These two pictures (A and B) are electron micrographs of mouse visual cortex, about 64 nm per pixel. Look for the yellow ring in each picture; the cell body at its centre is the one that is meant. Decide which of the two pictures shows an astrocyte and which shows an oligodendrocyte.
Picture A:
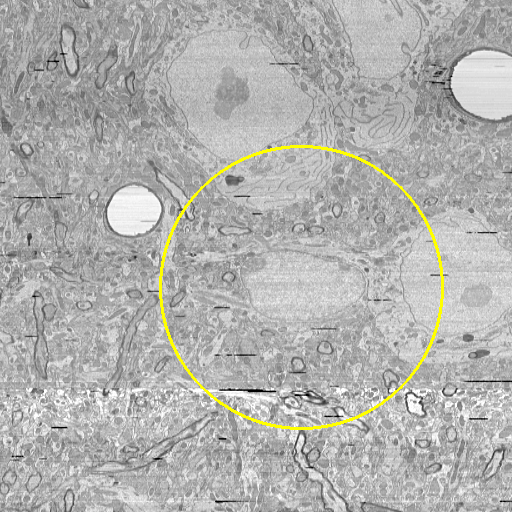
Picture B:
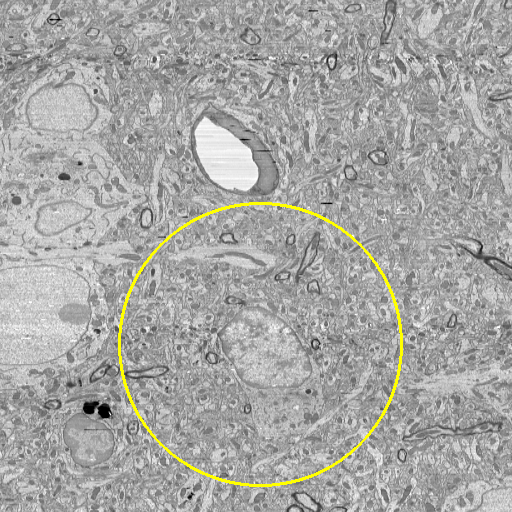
It is picture A that shows an astrocyte, and picture B that shows an oligodendrocyte.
